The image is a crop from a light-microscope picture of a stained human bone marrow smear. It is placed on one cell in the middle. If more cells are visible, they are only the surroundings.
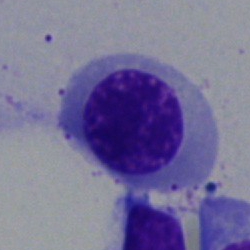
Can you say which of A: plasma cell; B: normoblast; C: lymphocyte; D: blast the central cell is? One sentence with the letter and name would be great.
The cell positioned centrally is a normoblast, as given in option B, which is correct.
